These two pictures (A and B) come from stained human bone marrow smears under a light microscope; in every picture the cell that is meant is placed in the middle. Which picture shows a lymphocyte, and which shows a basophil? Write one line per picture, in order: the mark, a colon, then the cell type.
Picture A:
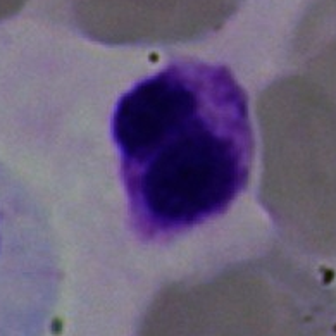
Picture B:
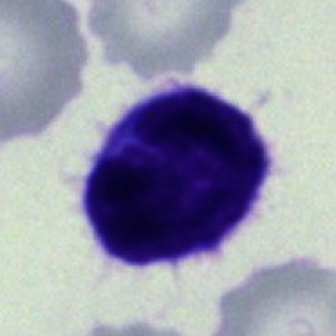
A: basophil
B: lymphocyte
